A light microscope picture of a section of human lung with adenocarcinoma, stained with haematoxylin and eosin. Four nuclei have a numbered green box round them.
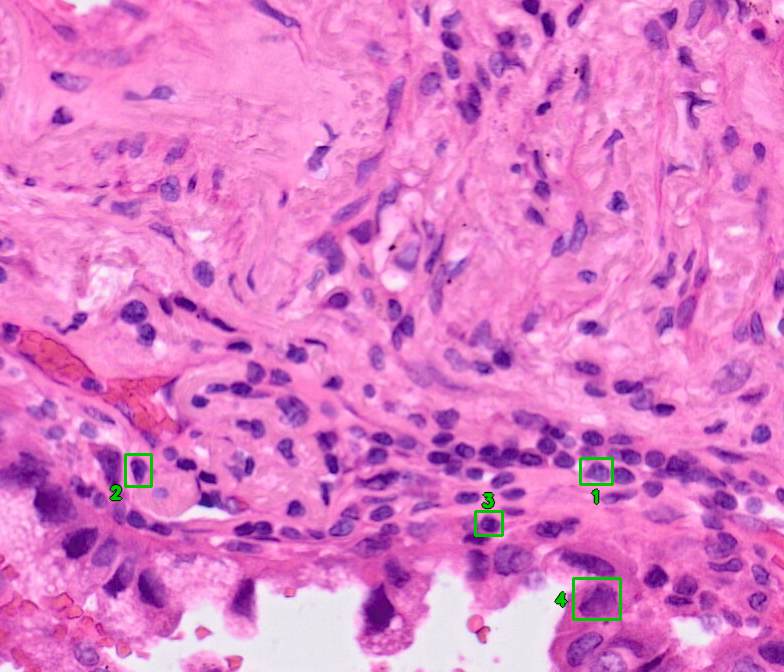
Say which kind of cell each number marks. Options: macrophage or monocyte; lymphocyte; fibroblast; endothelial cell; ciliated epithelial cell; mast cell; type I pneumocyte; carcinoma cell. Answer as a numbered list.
1. lymphocyte
2. lymphocyte
3. lymphocyte
4. carcinoma cell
